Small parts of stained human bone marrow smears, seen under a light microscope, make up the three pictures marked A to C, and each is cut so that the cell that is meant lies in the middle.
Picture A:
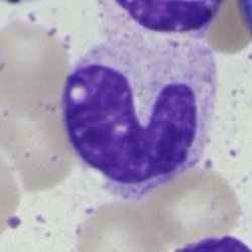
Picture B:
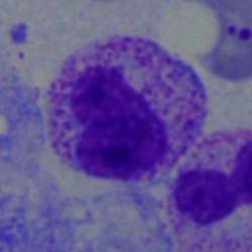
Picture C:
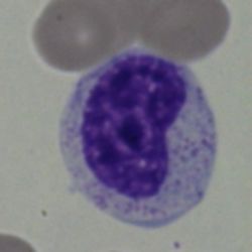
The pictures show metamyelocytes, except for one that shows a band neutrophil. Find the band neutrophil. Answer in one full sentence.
The cell in picture A is the band neutrophil.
